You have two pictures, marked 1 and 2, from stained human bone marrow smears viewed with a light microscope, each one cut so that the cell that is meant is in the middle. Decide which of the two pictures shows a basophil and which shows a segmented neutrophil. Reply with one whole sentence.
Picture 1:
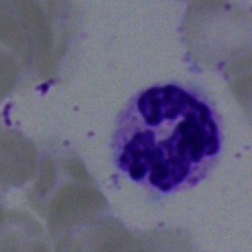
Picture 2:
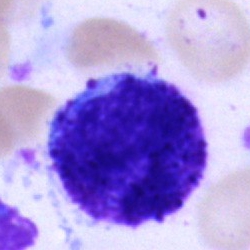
In picture 1 the cell is a segmented neutrophil; in picture 2, a basophil.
